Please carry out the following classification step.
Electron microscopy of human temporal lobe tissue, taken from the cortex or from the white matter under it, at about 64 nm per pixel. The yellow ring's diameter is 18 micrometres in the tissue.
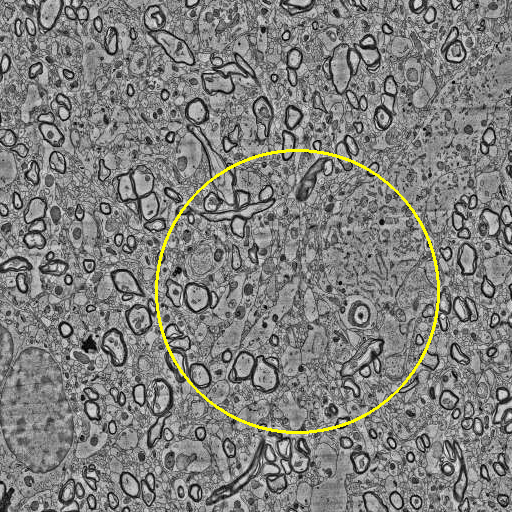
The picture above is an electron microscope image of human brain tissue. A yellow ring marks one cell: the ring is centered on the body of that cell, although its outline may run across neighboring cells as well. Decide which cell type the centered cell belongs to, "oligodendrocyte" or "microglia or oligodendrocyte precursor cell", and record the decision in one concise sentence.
The cell centered in the yellow ring is a microglial cell or oligodendrocyte precursor cell.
